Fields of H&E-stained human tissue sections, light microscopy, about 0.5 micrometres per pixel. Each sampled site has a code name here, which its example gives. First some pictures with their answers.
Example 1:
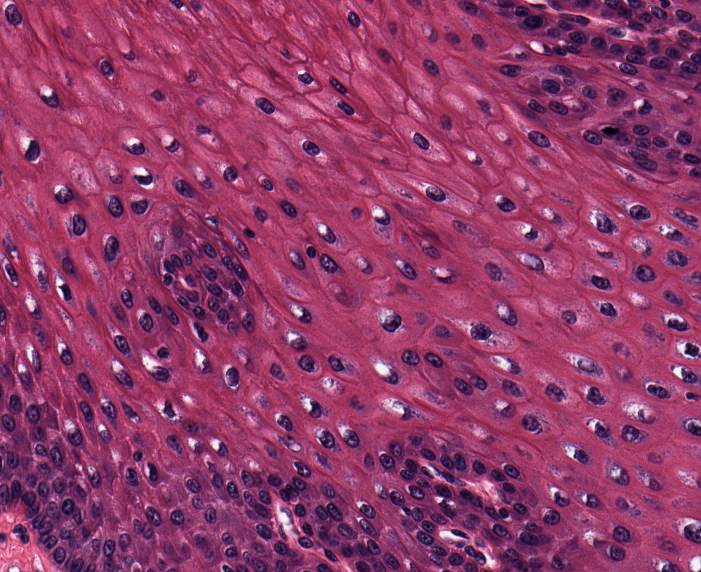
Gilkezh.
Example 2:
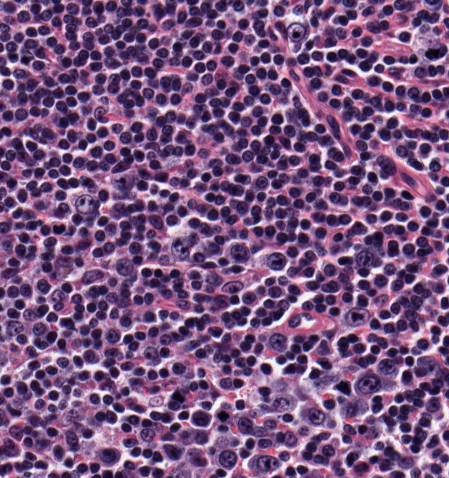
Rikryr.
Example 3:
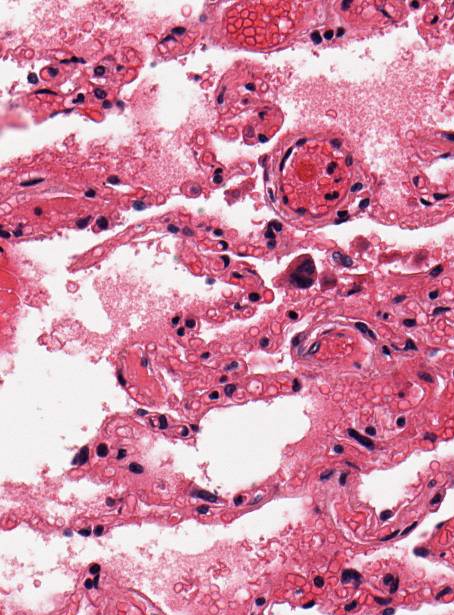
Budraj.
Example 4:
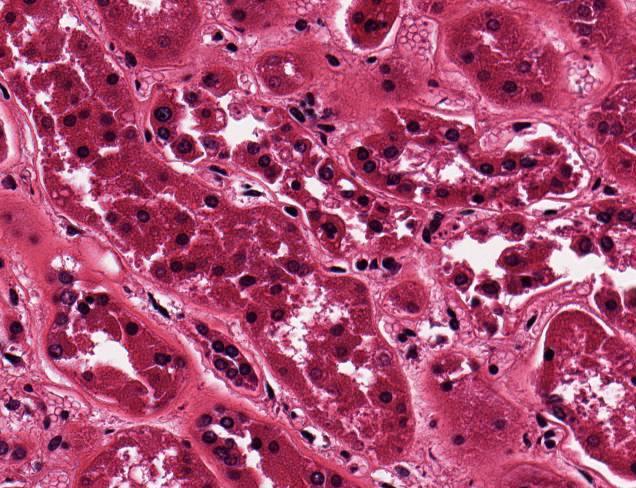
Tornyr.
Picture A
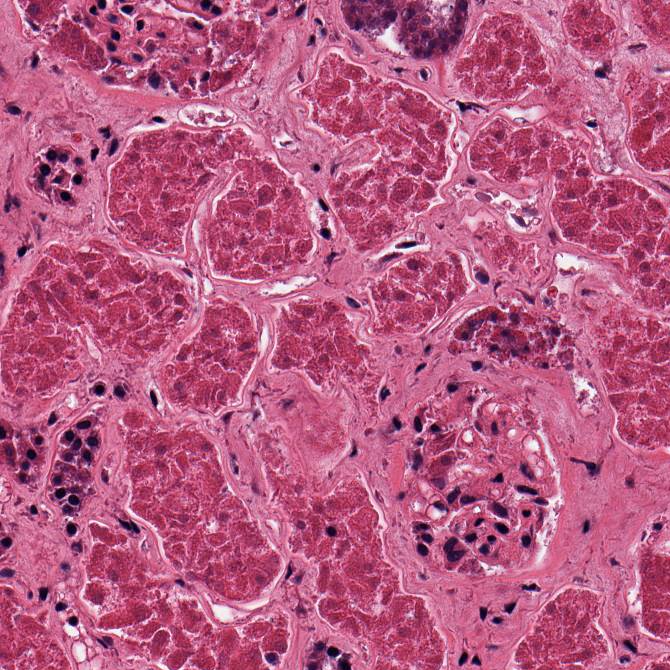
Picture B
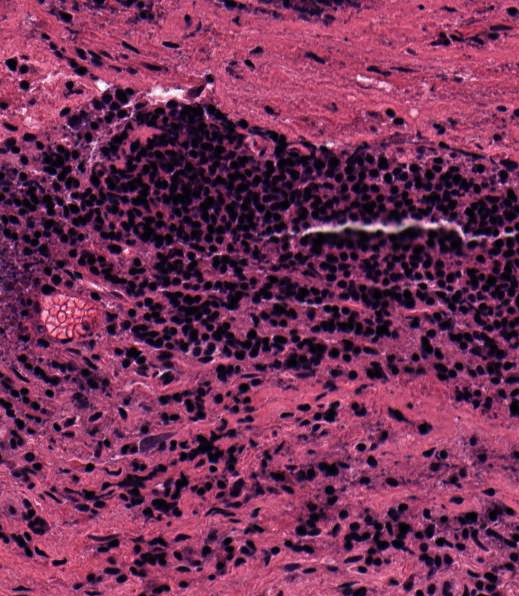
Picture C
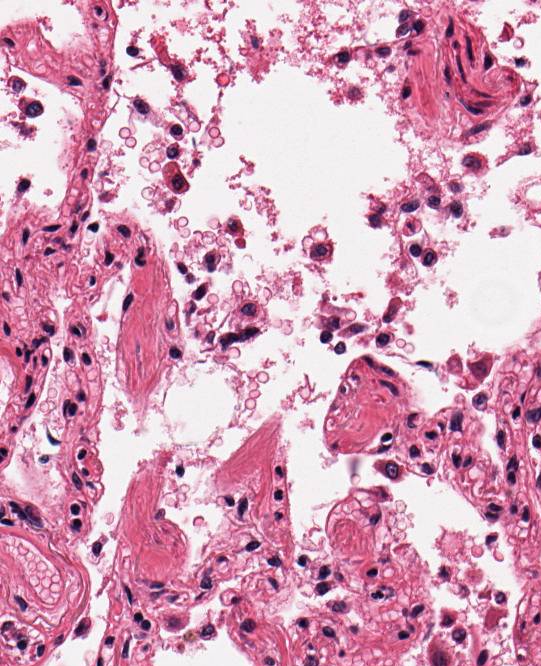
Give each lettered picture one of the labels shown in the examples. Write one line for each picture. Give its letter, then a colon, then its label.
A: Tornyr.
B: Rikryr.
C: Budraj.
